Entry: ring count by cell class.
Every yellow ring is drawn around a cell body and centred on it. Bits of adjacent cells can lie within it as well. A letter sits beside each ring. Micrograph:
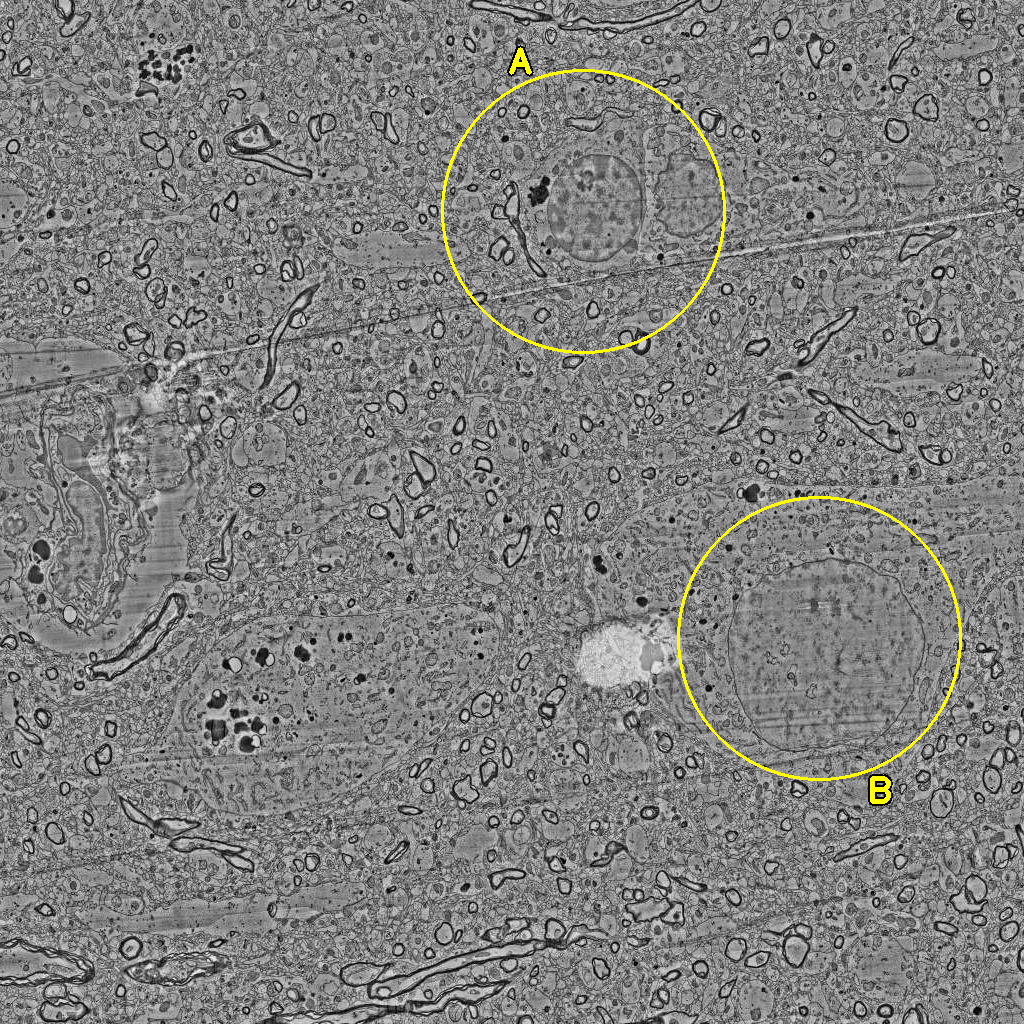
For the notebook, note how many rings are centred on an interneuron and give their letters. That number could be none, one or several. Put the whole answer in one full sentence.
Across the lettered rings, not one is centred on an interneuron, so zero is the count.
